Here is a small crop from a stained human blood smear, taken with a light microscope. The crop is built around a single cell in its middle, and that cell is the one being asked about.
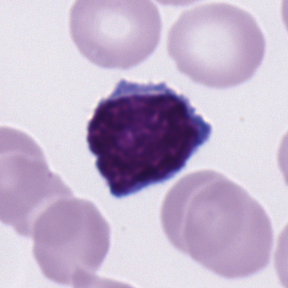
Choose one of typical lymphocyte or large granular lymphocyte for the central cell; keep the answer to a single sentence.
In the middle of this smear crop is a typical lymphocyte.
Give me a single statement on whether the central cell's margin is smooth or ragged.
The contour of the cell is interrupted by ragged areas or by projections.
